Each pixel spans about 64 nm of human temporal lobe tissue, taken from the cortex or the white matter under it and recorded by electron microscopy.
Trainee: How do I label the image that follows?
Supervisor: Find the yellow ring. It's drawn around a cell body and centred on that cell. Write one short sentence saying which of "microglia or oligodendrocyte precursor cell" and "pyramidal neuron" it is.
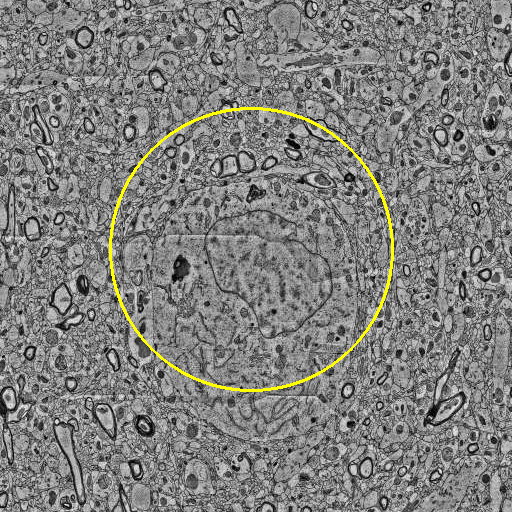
This is the cell body of a pyramidal neuron.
